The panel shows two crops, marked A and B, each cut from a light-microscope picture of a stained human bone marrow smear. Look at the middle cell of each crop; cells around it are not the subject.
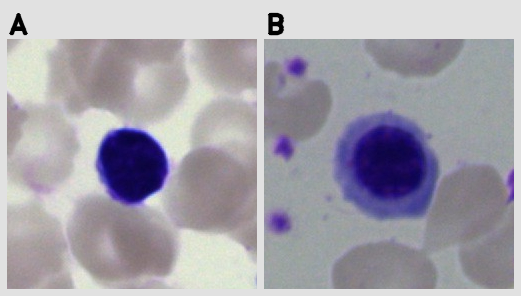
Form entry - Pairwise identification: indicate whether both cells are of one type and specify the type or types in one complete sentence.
No, it is crop A that shows a lymphocyte, and crop B that shows an erythroblast.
